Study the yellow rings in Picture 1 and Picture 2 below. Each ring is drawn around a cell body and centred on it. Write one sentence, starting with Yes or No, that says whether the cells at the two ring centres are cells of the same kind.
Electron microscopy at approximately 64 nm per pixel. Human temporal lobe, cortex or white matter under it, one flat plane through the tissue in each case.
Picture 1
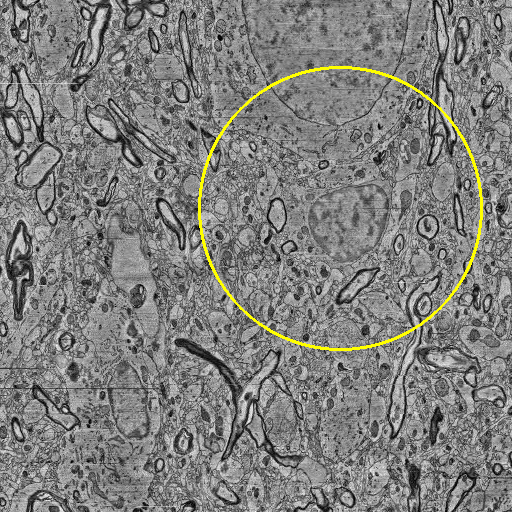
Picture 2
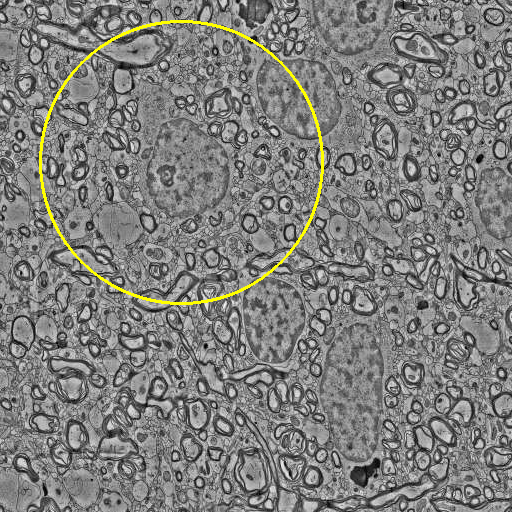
Yes, the cells at both ring centres are of the same kind.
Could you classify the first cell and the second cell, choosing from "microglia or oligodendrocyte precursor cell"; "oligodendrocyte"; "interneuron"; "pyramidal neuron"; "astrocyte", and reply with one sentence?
The second cell is an oligodendrocyte, just as the first is.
